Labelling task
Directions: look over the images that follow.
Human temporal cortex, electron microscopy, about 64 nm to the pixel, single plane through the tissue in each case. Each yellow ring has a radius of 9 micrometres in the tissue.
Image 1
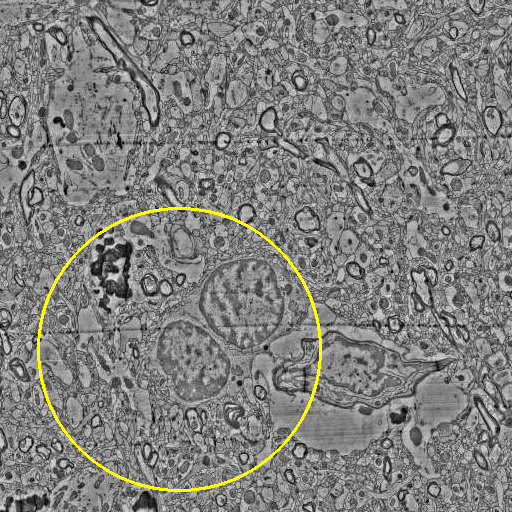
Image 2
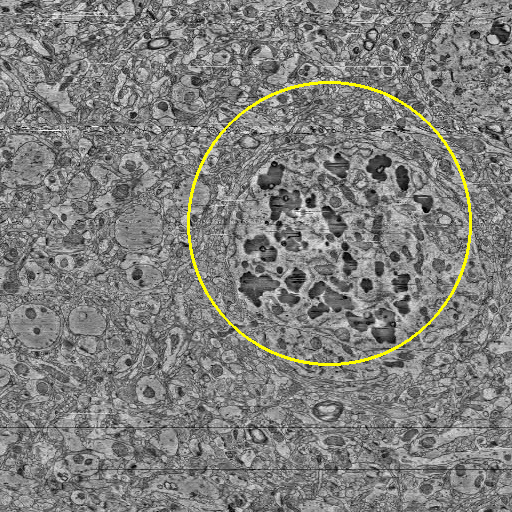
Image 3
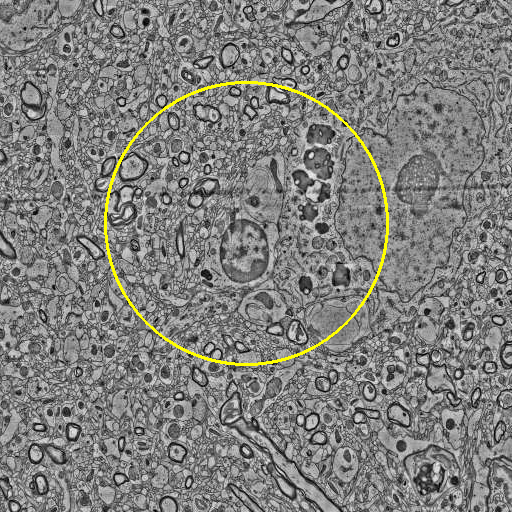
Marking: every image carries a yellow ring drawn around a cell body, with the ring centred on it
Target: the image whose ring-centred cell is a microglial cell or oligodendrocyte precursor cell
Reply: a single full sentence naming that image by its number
The requested cell sits at the ring's centre in Image 3.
